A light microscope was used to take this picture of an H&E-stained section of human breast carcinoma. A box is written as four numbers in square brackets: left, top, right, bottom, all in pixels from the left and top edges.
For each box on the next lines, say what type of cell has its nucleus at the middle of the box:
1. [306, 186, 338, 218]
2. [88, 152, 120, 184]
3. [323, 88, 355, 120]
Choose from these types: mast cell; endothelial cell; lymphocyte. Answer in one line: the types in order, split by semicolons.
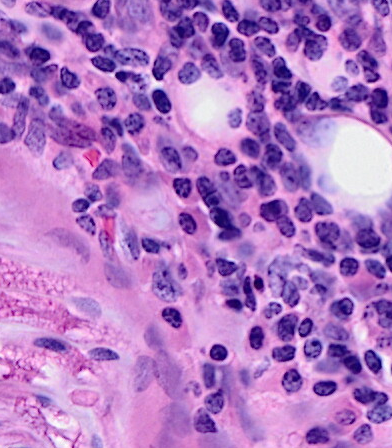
lymphocyte; endothelial cell; lymphocyte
